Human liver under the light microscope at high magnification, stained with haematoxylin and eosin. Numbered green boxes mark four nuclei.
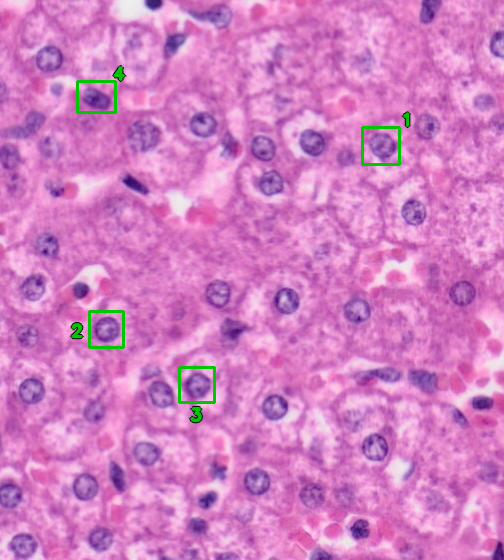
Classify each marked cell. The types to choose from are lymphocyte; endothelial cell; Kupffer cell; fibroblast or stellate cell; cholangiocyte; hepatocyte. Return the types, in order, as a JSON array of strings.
["hepatocyte", "hepatocyte", "hepatocyte", "fibroblast or stellate cell"]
